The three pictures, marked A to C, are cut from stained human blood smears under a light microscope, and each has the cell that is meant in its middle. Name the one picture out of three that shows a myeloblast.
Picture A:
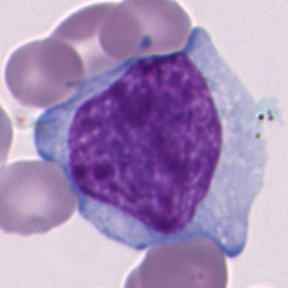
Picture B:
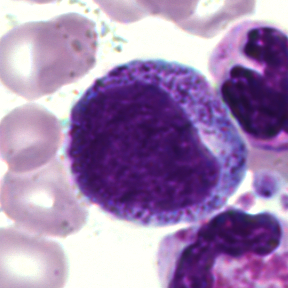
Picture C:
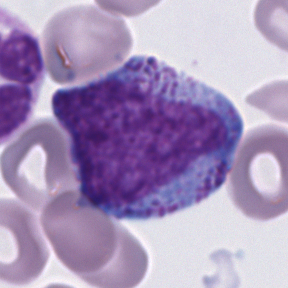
A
